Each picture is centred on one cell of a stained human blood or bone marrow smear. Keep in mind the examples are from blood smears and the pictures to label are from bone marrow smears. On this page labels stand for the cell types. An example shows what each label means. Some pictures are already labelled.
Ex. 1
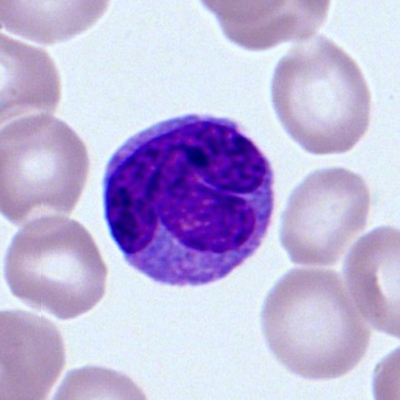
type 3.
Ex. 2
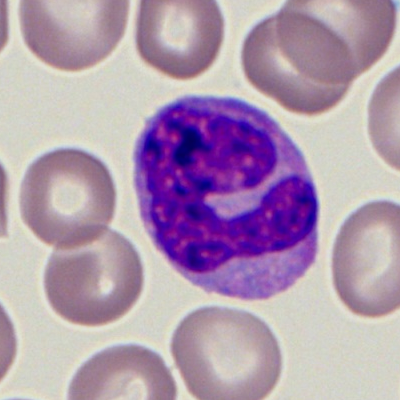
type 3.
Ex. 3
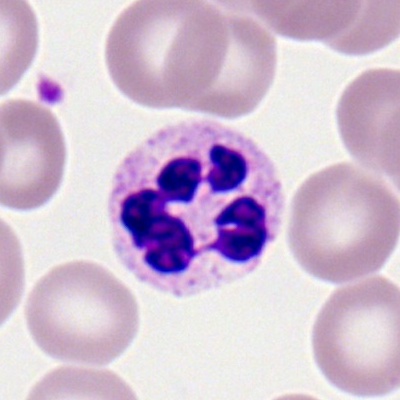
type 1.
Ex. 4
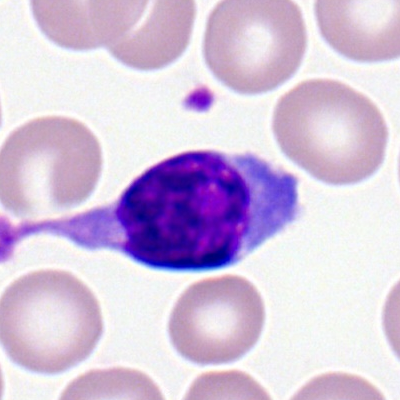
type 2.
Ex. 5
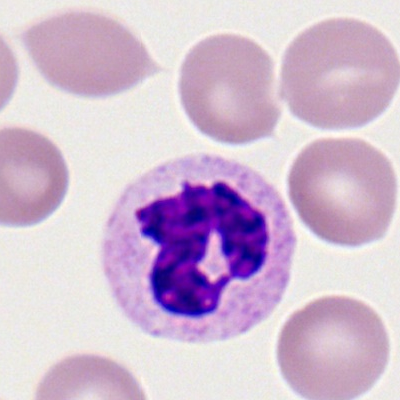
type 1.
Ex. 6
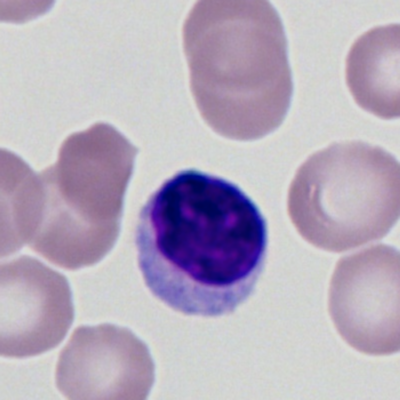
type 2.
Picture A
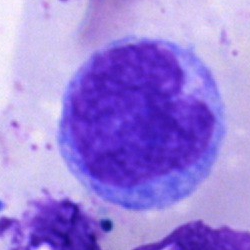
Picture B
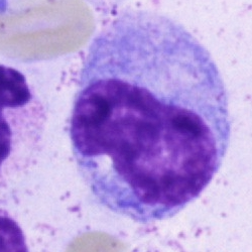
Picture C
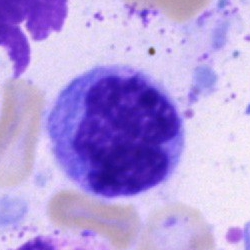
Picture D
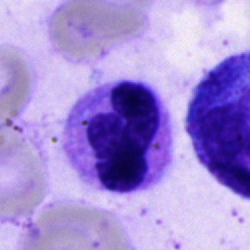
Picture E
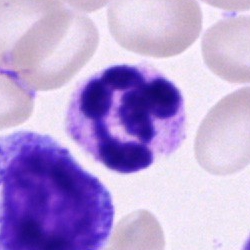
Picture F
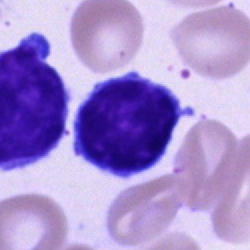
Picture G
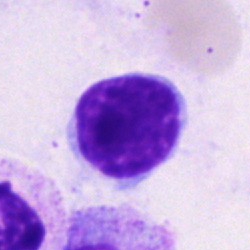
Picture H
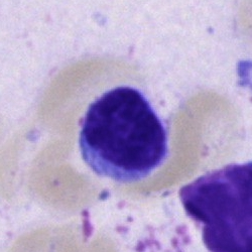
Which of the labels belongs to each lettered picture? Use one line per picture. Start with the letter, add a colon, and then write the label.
A: type 3.
B: type 3.
C: type 3.
D: type 1.
E: type 1.
F: type 2.
G: type 2.
H: type 2.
